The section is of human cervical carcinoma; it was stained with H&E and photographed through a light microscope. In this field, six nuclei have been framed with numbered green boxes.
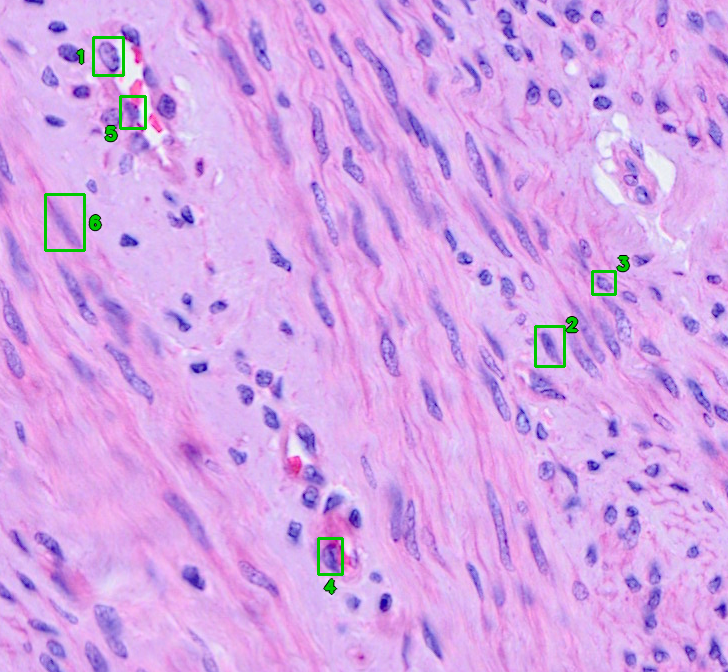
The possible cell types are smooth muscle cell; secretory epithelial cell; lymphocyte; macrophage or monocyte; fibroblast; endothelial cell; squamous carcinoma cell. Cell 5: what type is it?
endothelial cell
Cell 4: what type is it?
endothelial cell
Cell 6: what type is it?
smooth muscle cell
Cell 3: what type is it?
smooth muscle cell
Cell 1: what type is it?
endothelial cell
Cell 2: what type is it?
smooth muscle cell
